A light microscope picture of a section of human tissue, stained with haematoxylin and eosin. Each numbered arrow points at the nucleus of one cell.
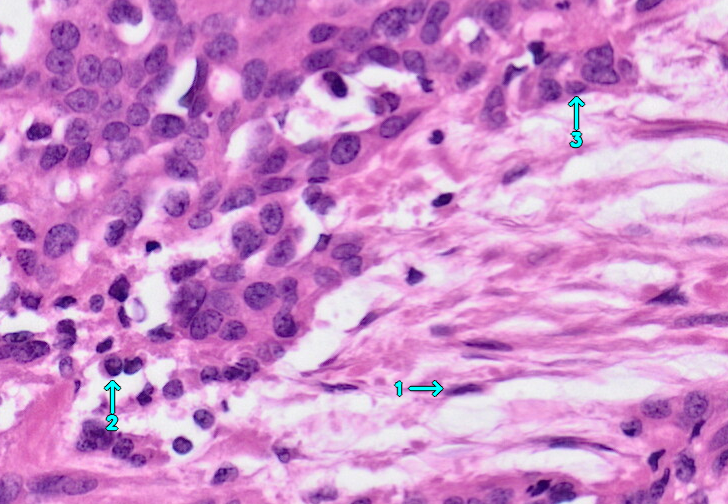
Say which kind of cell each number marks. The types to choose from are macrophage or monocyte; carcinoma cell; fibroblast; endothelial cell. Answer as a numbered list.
1. fibroblast
2. carcinoma cell
3. carcinoma cell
